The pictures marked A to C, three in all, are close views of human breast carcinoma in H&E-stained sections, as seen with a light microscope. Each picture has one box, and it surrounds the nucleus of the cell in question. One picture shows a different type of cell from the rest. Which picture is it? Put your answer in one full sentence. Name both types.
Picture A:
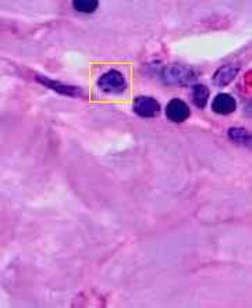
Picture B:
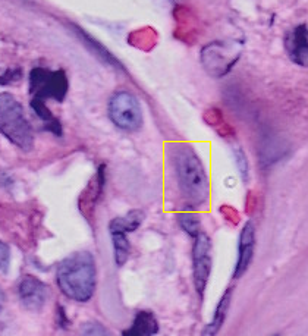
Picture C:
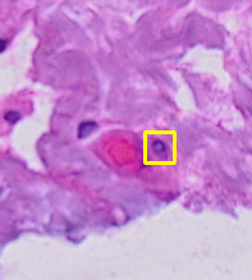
All pictures except A show endothelial cells; picture A shows a lymphocyte.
